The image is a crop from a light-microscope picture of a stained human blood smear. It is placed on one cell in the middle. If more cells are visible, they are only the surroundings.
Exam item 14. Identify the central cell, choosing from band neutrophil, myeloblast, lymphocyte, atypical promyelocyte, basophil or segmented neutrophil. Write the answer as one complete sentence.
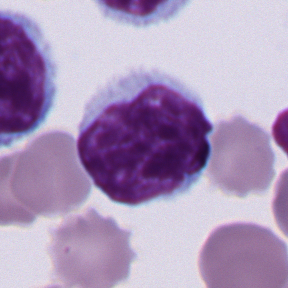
This crop has a lymphocyte at its centre.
